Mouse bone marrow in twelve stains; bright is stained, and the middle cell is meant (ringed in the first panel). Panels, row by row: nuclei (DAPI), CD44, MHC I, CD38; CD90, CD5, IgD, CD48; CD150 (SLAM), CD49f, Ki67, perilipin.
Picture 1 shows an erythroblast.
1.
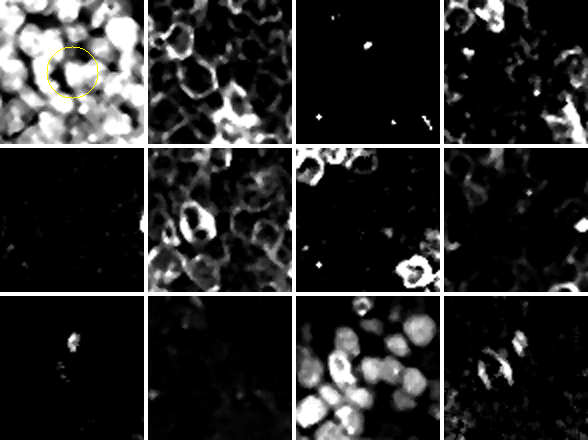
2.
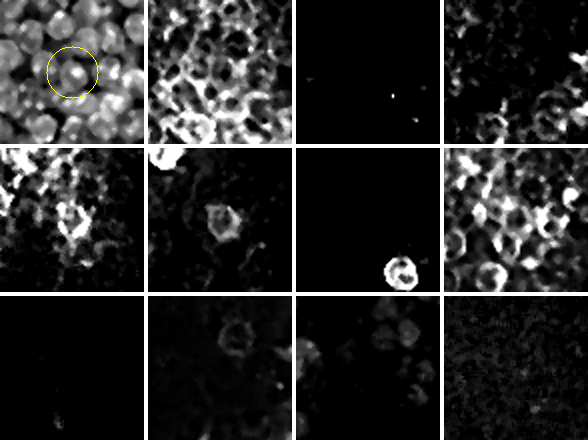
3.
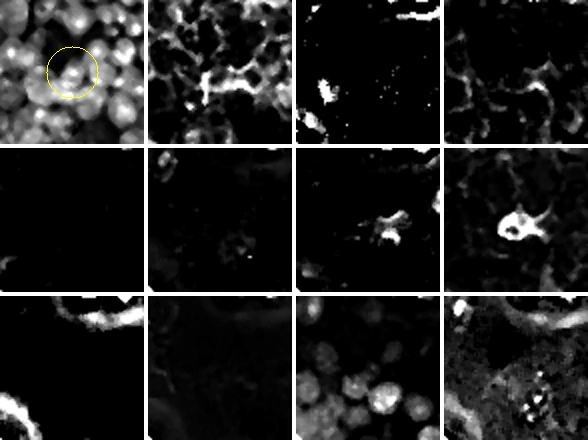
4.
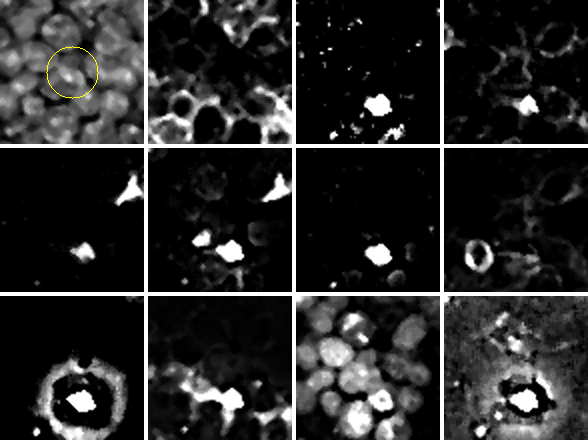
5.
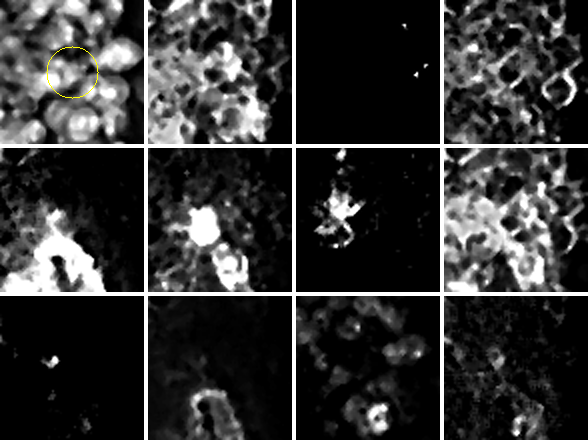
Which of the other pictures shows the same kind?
Picture 4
